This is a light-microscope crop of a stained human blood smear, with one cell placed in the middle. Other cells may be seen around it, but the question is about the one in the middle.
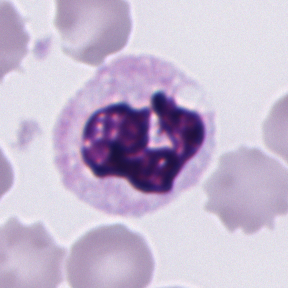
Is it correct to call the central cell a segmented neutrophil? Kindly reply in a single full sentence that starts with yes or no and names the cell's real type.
Yes, the cell of interest in the middle is a segmented neutrophil.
